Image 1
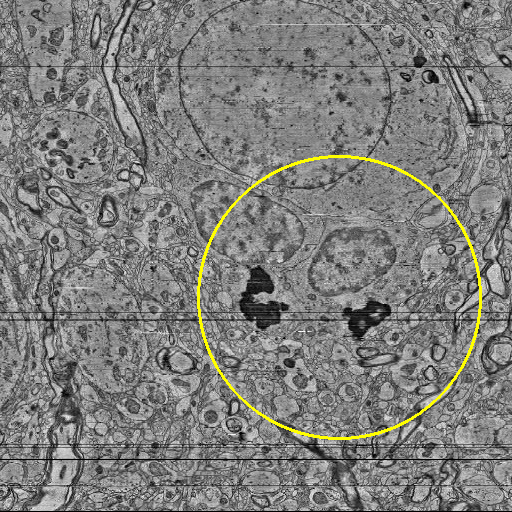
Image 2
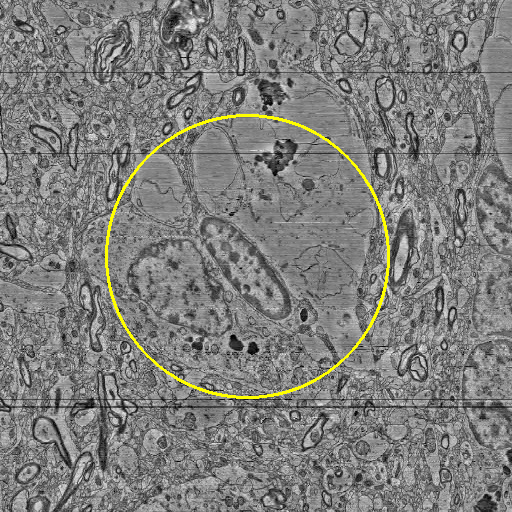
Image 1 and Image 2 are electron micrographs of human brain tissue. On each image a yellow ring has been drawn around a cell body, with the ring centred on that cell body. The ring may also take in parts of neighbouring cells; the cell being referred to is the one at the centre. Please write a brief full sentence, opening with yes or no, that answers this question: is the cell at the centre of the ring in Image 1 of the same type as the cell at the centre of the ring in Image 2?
No, the two cells are of two types.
